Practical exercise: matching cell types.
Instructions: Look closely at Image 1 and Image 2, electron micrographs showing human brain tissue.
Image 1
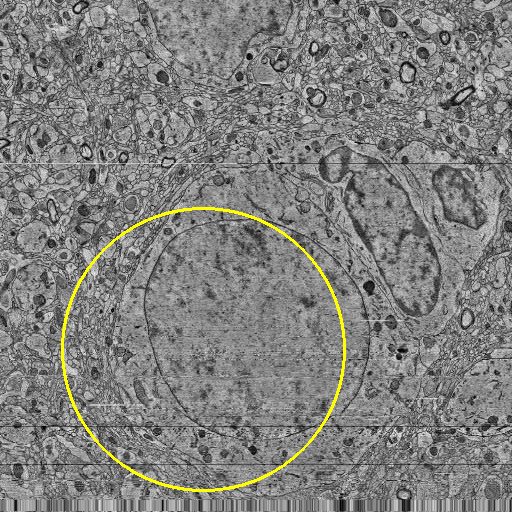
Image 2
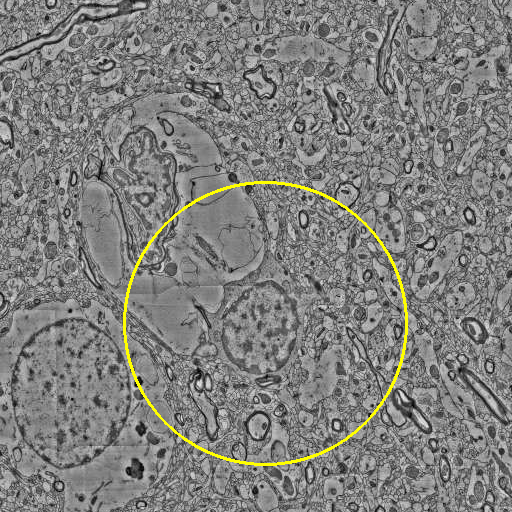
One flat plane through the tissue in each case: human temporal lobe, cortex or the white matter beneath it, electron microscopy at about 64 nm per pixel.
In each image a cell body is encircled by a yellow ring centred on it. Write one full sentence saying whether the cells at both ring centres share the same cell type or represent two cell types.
Across Image 1 and Image 2, the cells at the ring centres represent two cell types.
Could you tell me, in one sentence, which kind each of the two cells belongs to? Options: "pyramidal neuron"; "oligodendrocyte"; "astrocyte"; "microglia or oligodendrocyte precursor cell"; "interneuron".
At the centre of the first ring sits a pyramidal neuron, and at the centre of the second sits an oligodendrocyte.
